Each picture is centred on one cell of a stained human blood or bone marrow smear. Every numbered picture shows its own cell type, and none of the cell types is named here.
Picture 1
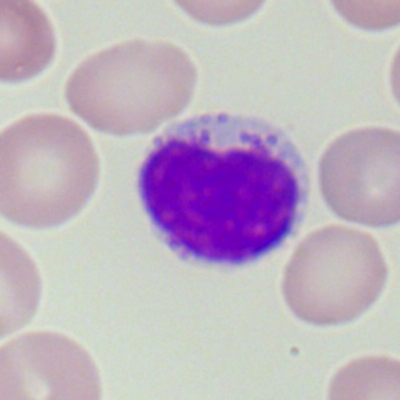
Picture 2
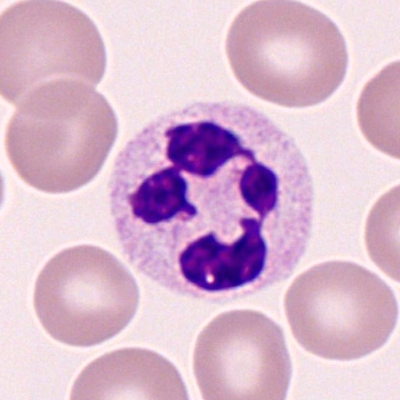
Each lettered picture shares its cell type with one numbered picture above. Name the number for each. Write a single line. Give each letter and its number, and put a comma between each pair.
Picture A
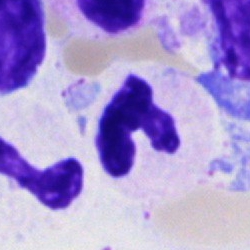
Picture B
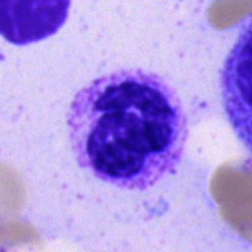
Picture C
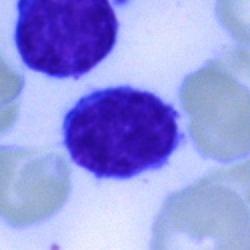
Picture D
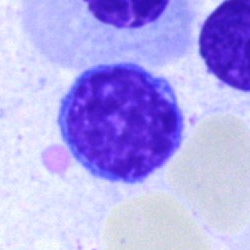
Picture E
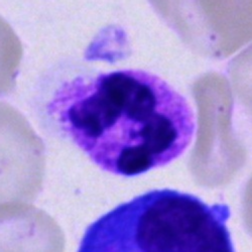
A 2, B 2, C 1, D 1, E 2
